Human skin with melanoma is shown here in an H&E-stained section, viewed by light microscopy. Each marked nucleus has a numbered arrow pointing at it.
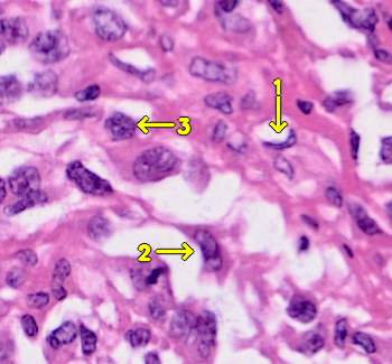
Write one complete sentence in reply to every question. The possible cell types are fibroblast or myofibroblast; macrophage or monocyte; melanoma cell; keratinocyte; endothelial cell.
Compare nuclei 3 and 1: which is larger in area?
Nucleus 3 covers more area, about 2.5 times as much as nucleus 1.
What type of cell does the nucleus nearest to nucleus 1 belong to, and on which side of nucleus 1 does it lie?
An endothelial cell lies closest, below nucleus 1.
